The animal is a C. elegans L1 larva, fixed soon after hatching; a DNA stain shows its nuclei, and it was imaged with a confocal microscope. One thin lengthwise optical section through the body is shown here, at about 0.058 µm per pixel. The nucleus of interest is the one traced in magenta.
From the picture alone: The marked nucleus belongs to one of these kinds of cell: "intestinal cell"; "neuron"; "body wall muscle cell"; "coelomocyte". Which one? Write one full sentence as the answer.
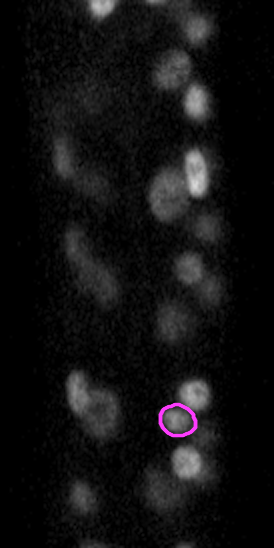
The marked nucleus is that of a coelomocyte.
